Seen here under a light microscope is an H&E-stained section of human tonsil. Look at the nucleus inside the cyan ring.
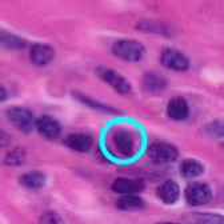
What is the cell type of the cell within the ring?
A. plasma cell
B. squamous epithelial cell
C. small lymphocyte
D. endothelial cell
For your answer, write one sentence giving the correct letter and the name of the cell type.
Option A is the correct one, since the cell within the ring is a plasma cell.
